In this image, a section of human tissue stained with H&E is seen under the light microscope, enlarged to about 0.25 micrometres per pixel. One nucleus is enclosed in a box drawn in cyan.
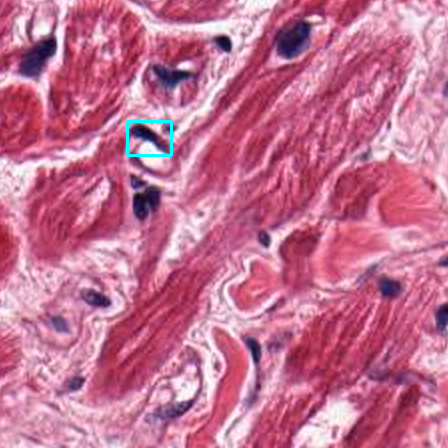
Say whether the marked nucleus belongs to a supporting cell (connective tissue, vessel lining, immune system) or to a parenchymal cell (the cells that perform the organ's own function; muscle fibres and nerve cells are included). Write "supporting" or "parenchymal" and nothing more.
supporting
